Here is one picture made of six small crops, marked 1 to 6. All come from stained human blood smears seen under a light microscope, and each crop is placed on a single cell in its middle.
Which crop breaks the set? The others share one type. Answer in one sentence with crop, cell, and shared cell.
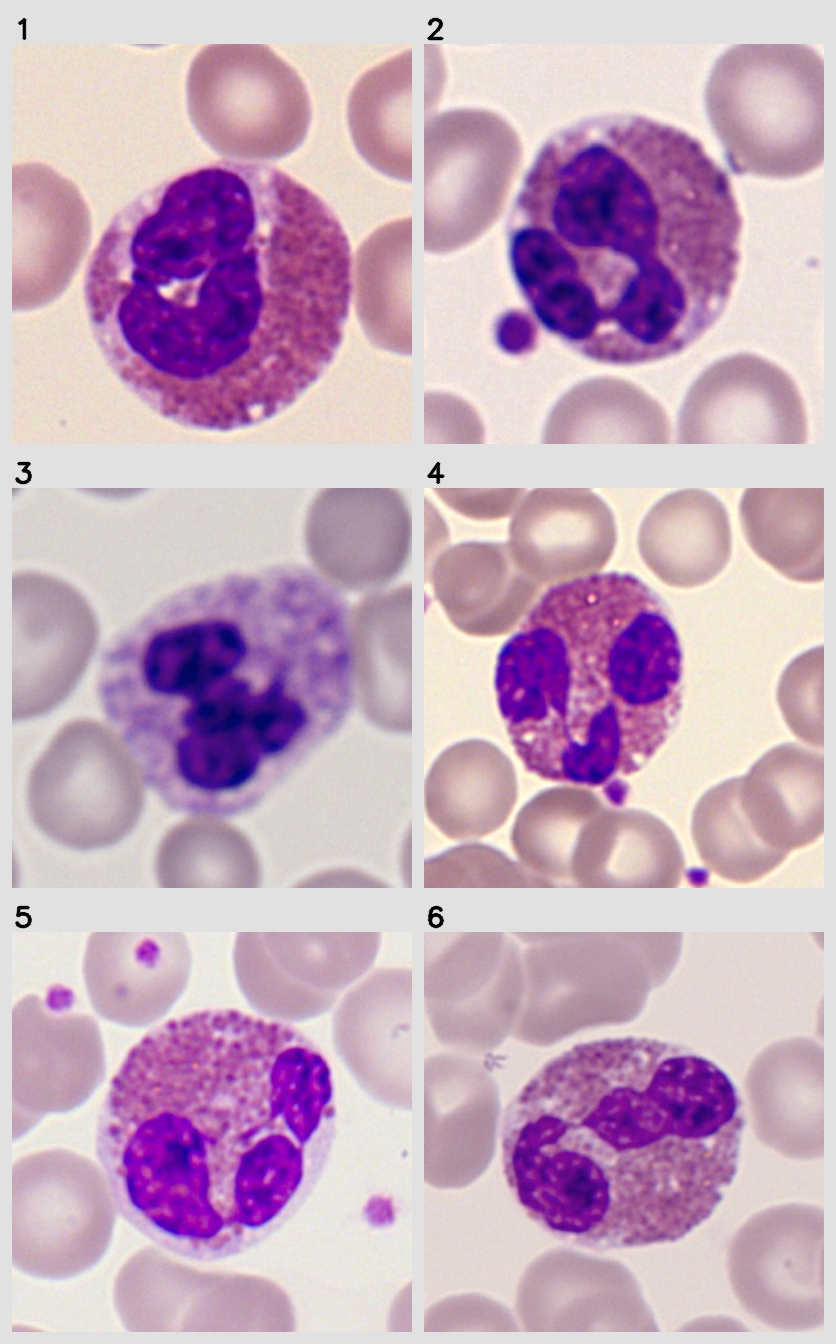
Crop 3 shows a neutrophil; by contrast, all the other crops show eosinophils.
